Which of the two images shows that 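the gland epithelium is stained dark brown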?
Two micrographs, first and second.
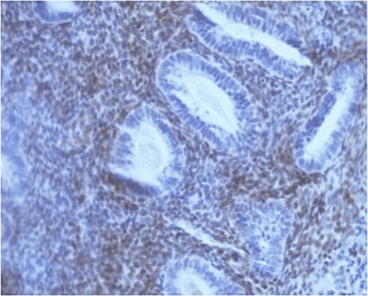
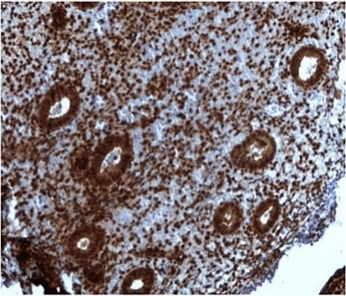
the second image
